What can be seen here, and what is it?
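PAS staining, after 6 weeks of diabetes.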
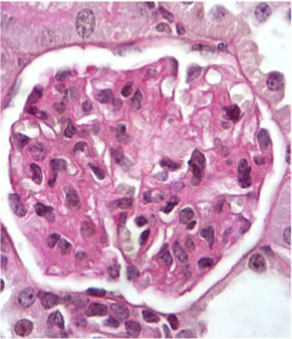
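A large rounded tuft of capillary loops crowded with dark nuclei nearly fills its capsule, with magenta-stained material between the loops and a narrow clear space at the rim. Tubules with pink cytoplasm surround it. This is a renal glomerulus within its capsule.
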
